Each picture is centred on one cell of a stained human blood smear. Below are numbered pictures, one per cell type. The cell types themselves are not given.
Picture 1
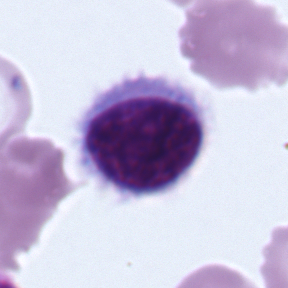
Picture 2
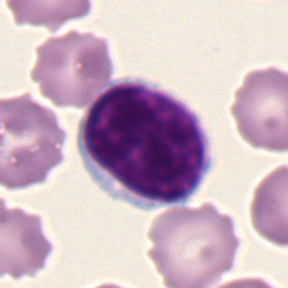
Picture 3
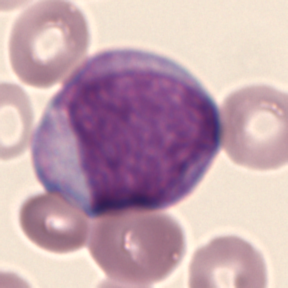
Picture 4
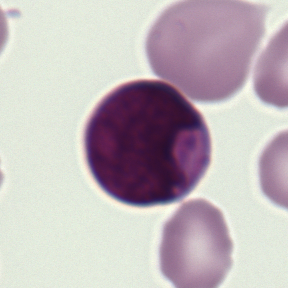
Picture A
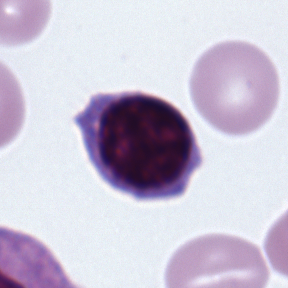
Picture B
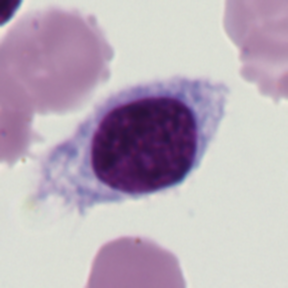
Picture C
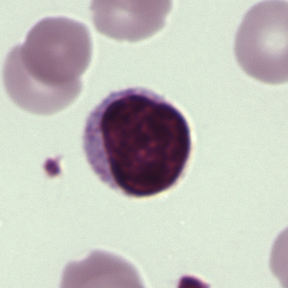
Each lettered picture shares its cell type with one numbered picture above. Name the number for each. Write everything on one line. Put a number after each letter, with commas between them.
A 2, B 1, C 2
